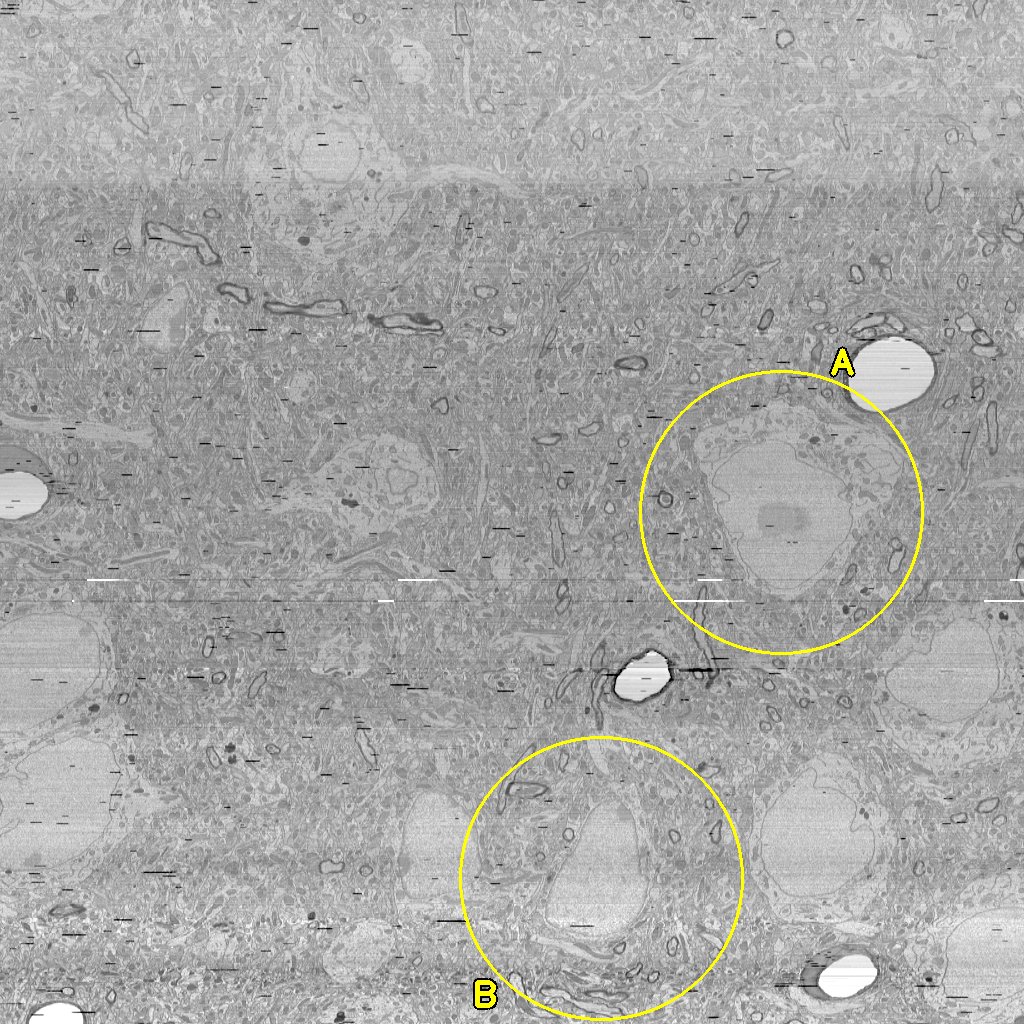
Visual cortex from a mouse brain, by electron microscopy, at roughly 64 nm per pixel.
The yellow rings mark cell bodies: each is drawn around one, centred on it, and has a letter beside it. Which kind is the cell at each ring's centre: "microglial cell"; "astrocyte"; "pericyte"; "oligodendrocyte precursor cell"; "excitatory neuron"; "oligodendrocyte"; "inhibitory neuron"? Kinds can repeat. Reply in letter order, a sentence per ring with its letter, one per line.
At the centre of ring A lies an excitatory neuron.
At the centre of ring B lies an astrocyte.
